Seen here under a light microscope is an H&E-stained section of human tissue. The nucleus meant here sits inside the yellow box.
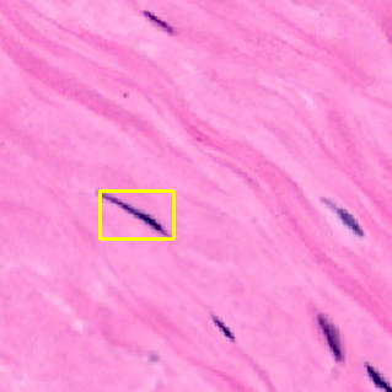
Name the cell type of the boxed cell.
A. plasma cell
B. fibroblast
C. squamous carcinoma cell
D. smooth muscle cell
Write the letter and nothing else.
B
